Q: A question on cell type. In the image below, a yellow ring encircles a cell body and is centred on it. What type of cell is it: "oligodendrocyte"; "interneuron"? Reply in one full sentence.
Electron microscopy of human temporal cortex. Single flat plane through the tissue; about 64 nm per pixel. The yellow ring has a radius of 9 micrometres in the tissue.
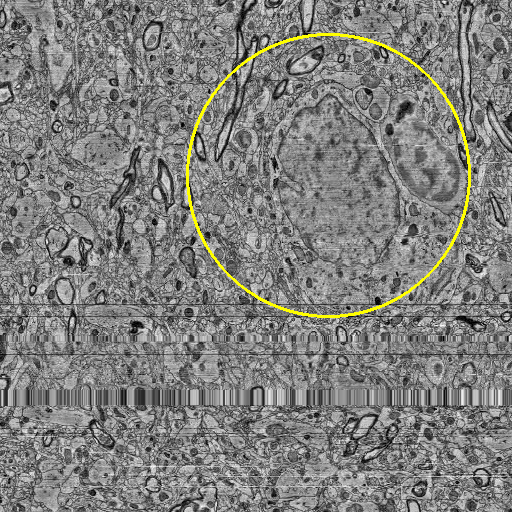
It is an interneuron whose cell body sits at the centre of the yellow ring in the image.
